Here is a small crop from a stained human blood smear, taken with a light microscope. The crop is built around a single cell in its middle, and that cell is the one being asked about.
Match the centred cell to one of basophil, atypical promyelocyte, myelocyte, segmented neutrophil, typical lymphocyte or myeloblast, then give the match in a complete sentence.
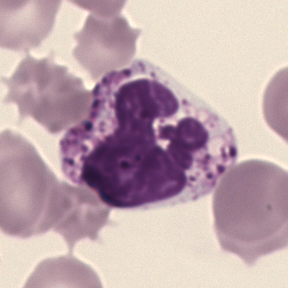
To answer, the cell in the center of the crop is a basophil.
